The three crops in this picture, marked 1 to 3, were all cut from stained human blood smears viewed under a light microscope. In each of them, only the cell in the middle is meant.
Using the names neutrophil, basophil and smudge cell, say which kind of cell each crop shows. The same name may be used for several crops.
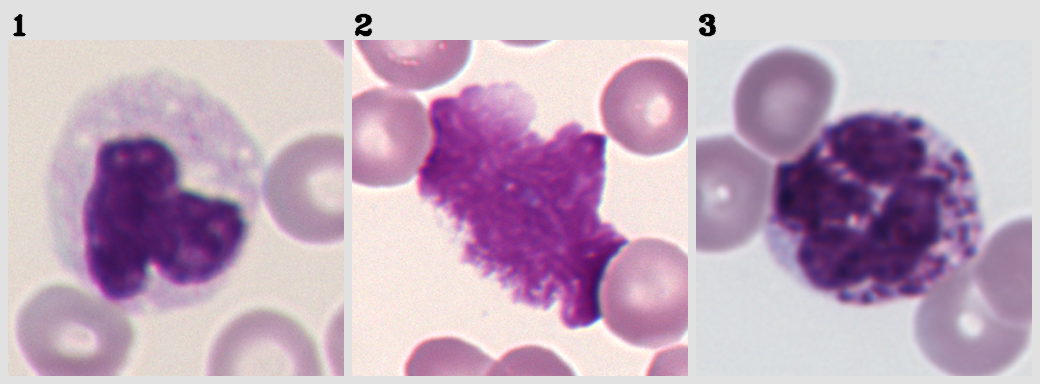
1: neutrophil
2: smudge cell
3: basophil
